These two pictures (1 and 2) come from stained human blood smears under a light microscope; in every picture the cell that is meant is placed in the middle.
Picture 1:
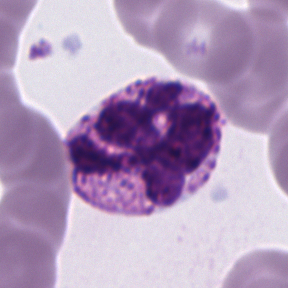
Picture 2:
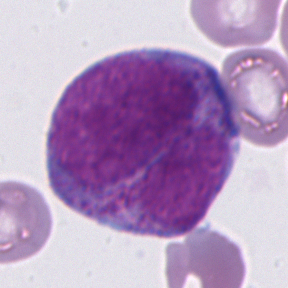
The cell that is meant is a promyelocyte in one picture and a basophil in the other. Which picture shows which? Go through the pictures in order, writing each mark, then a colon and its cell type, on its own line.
1: basophil
2: promyelocyte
